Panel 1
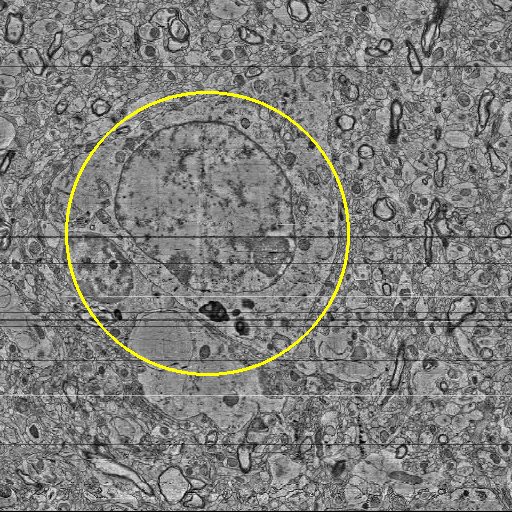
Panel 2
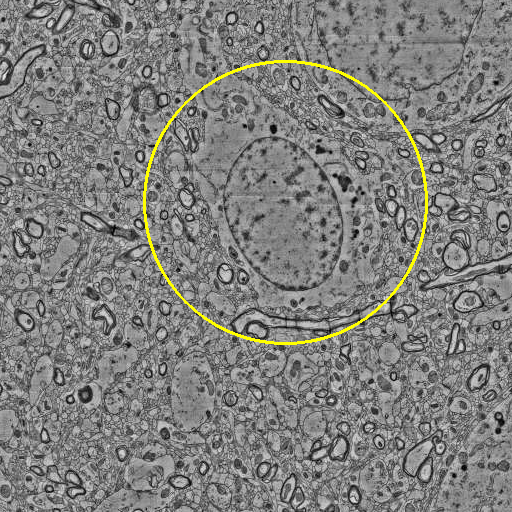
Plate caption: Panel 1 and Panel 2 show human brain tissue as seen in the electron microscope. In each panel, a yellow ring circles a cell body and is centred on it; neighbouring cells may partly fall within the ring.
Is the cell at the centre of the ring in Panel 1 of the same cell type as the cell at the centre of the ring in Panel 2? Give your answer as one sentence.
No, the two cells are of two types.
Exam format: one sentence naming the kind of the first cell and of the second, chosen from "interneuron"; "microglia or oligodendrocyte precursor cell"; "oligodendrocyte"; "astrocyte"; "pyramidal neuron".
The first picture's cell is a pyramidal neuron, and the second picture's cell is an astrocyte.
